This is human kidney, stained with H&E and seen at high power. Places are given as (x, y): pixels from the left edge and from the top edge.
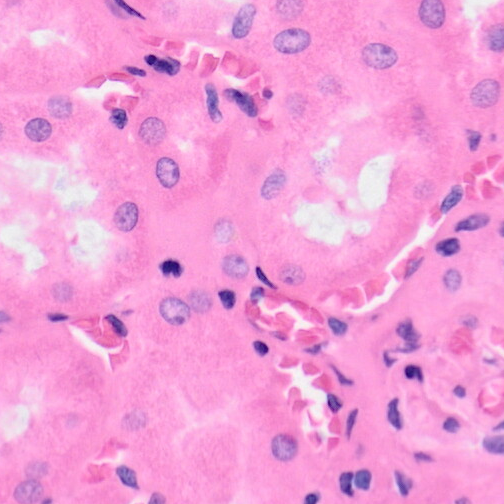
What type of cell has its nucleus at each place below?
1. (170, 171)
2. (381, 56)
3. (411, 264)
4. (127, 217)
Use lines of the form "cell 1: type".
cell 1: proximal tubule cell
cell 2: proximal tubule cell
cell 3: endothelial cell
cell 4: proximal tubule cell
